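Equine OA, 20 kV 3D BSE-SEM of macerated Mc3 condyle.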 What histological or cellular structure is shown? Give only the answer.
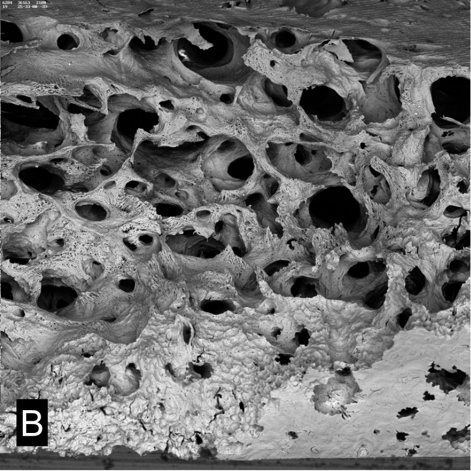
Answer: Osteoclastic resorption profiles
